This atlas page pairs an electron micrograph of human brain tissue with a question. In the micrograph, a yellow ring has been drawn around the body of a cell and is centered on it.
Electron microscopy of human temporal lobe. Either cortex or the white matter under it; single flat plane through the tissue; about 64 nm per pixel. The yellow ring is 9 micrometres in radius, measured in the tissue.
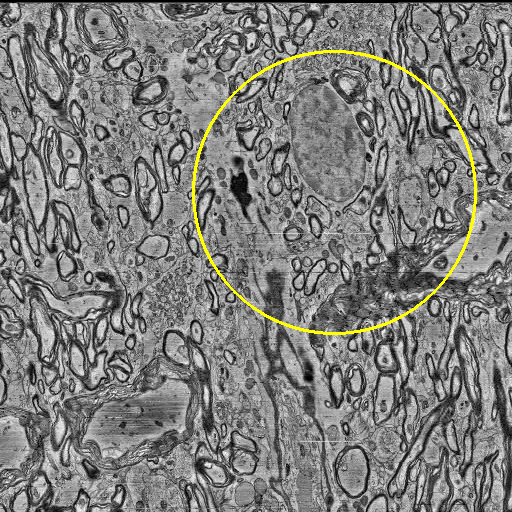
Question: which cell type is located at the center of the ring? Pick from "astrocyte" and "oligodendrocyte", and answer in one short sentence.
Located at the center of the ring is an oligodendrocyte.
